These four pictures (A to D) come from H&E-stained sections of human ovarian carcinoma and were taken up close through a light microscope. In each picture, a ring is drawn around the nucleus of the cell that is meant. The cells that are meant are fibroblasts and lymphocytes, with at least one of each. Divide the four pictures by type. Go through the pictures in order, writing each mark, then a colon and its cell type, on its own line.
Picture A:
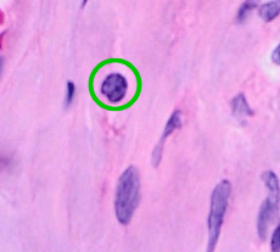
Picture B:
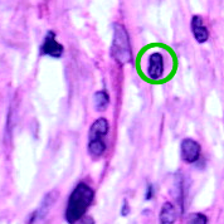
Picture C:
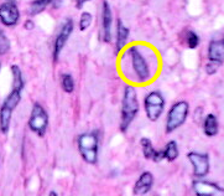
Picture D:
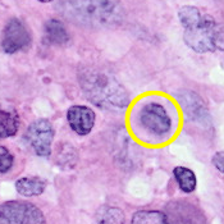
A: lymphocyte
B: lymphocyte
C: fibroblast
D: lymphocyte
